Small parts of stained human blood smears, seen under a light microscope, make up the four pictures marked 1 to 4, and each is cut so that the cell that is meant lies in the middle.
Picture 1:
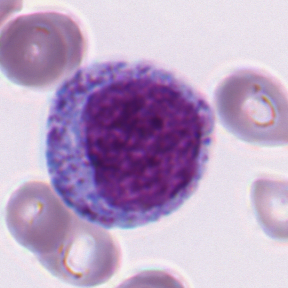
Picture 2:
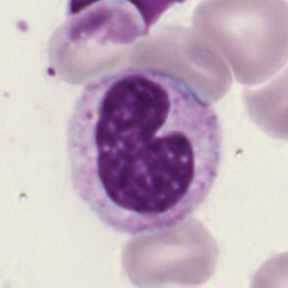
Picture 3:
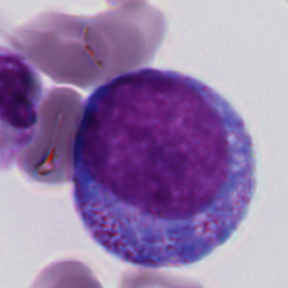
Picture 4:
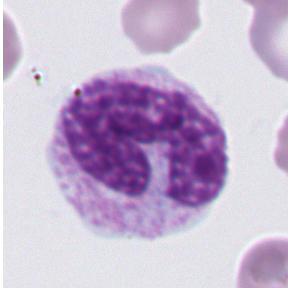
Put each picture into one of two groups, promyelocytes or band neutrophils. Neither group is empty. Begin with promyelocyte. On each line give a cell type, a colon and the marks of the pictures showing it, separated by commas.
promyelocyte: 1, 3
band neutrophil: 2, 4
